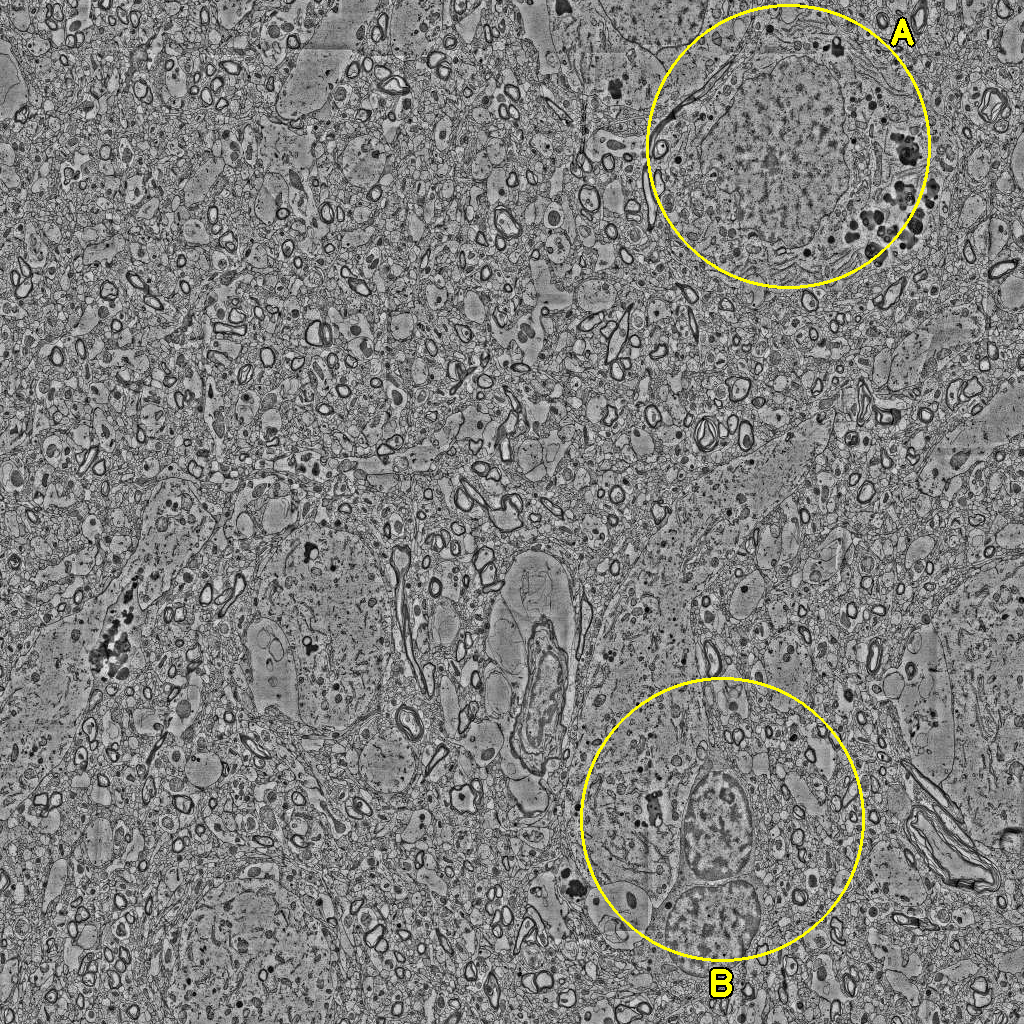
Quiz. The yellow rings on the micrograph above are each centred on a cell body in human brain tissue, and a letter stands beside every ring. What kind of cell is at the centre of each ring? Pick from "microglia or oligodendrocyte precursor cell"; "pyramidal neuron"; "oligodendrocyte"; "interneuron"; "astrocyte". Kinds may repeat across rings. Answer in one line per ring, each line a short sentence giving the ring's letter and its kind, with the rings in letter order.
The ring labelled A has an interneuron at its centre.
The ring labelled B has an oligodendrocyte at its centre.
